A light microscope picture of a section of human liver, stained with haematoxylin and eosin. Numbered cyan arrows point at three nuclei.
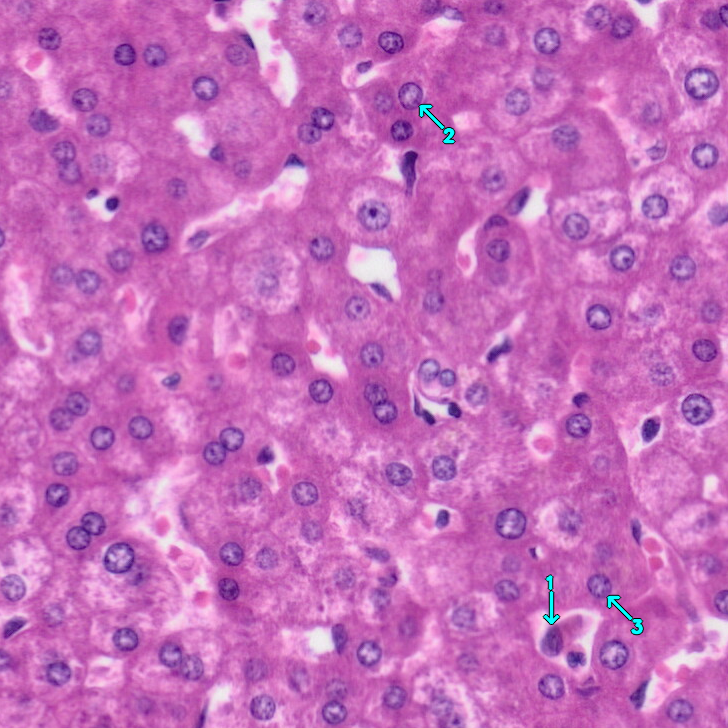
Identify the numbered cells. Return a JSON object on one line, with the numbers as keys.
{"1": "Kupffer cell", "2": "hepatocyte", "3": "hepatocyte"}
